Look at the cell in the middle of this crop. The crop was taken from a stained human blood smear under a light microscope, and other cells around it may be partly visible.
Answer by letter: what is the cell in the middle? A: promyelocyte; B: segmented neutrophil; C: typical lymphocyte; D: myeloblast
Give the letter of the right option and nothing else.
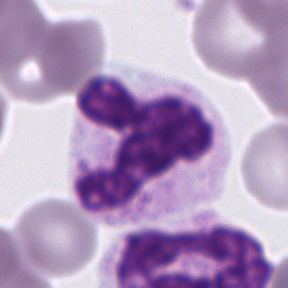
B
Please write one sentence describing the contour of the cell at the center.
Smooth all around, the outline has no projections to report.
